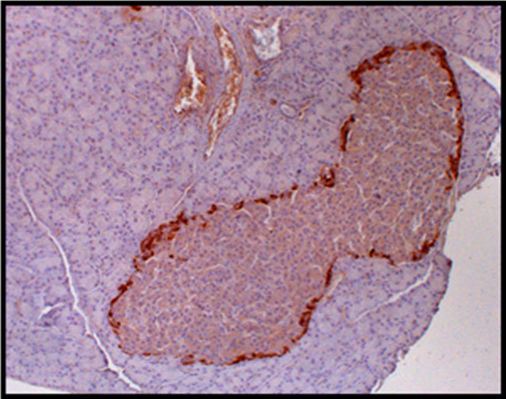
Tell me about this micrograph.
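A section of pancreas shows a large, elongated islet of Langerhans surrounded by exocrine acini. The islet interior is evenly tinted light brown, its small, closely packed cells separated by fine strands, while a dark brown, somewhat beaded band of stained cells runs along much of the islet border. The acinar tissue around it is pale purple with blue nuclei, arranged in rounded acini separated by thin septa. At the top of the field small ducts and vessels with open lumina lie in connective tissue, some with brownish walls.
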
